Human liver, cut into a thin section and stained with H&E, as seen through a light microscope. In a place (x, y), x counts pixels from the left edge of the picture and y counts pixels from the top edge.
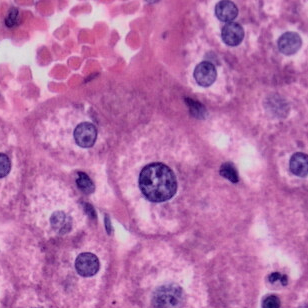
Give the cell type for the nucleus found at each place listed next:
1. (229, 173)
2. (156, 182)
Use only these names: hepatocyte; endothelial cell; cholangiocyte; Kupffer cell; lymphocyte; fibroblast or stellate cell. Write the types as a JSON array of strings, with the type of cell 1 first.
["fibroblast or stellate cell", "hepatocyte"]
